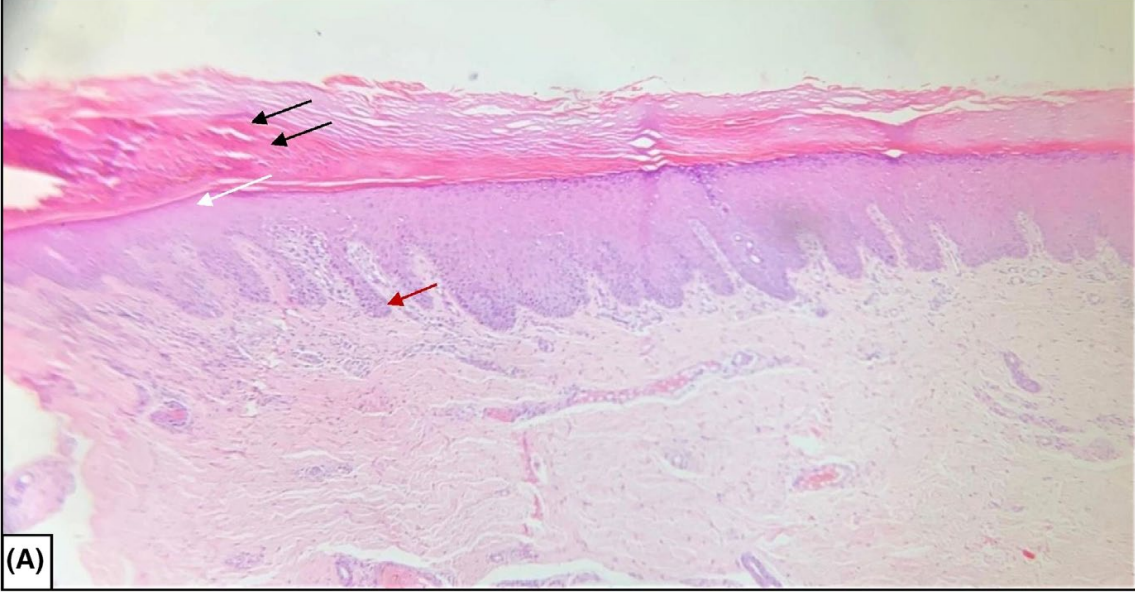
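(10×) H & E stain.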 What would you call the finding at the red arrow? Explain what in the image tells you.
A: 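The epidermis is thickened. Rete ridges are elongated and fairly regular, reaching down into the dermis.
Psoriasiform hyperplasia of epidermis.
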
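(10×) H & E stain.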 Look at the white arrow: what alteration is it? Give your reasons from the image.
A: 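The arrow points to the junction between the living epidermis and the cornified layer. No distinct band of dark granular cells is seen beneath the keratin. The answer: hypogranular layer.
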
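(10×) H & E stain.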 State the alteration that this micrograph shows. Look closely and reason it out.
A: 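Hyperkeratosis. A thick, compact pink cornified layer covers the whole epidermal surface.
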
